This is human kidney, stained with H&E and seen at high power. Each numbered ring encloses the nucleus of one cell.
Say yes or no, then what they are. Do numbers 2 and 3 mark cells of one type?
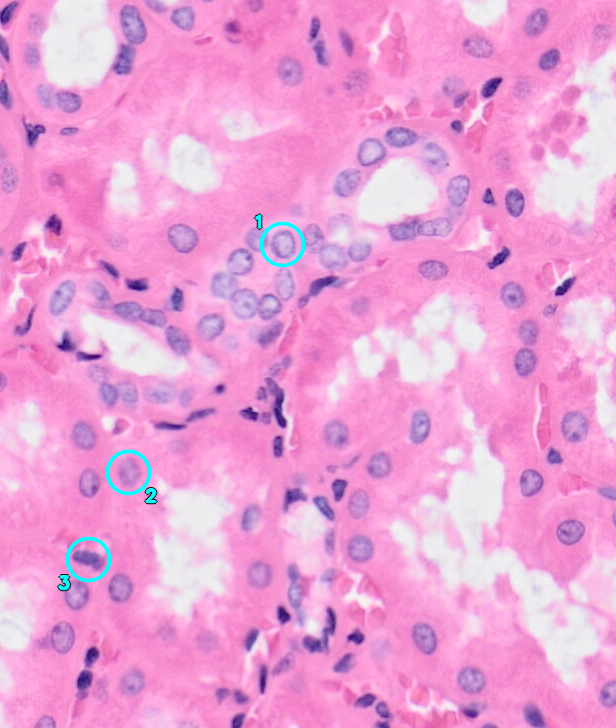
No, that's wrong; cell 2 is a proximal tubule cell and cell 3 is an endothelial cell.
